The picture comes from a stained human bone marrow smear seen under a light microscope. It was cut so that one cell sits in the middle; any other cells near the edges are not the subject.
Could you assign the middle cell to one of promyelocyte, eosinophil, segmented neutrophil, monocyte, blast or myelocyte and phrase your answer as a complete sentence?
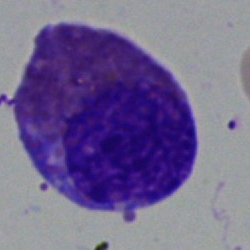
The cell found in the middle of this crop is an eosinophil.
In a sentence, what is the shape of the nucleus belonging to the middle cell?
The nucleus amounts to one compact mass with a round, oval or kidney-shaped outline.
